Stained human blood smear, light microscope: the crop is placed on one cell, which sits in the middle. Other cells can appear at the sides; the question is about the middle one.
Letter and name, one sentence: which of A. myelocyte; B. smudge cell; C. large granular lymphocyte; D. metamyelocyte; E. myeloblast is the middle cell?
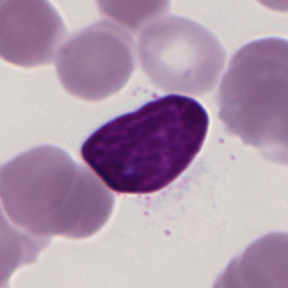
The cell placed in the middle is a smudge cell; option B is correct.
